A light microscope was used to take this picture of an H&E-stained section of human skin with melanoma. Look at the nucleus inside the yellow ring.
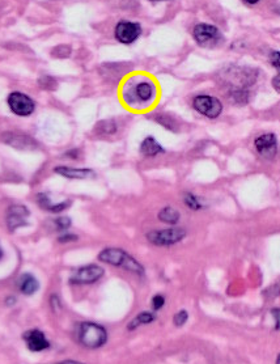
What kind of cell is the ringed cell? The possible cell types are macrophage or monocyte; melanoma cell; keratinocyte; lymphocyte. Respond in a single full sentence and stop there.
By cell type, the ringed cell is a macrophage or monocyte.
